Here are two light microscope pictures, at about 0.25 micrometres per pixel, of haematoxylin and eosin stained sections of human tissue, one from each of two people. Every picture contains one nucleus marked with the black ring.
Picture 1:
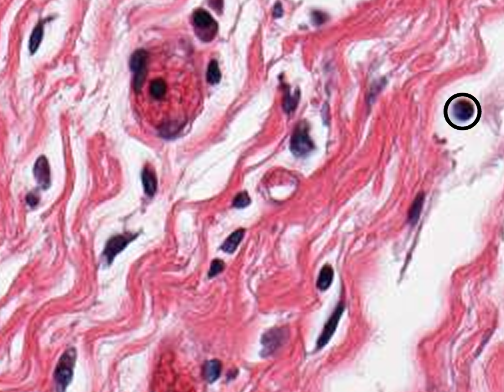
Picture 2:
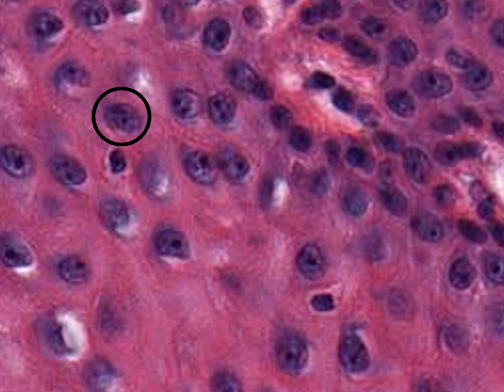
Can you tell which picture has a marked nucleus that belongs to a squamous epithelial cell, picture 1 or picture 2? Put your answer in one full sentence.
Of the two marked nuclei, the one in picture 2 belongs to a squamous epithelial cell.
